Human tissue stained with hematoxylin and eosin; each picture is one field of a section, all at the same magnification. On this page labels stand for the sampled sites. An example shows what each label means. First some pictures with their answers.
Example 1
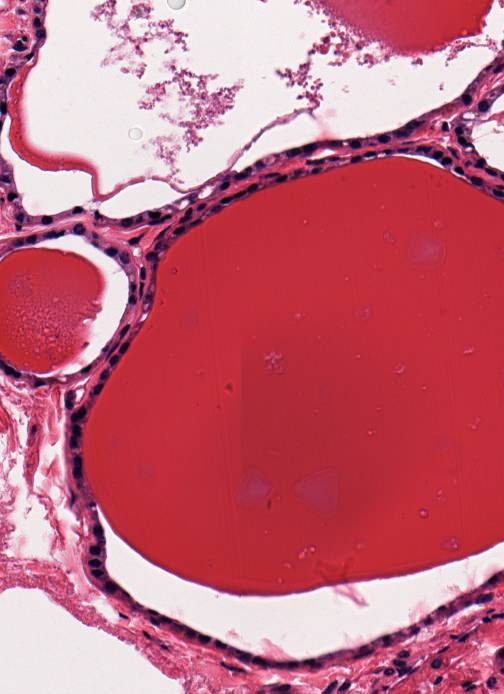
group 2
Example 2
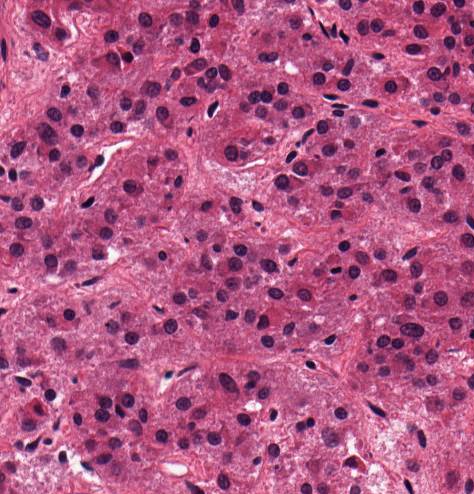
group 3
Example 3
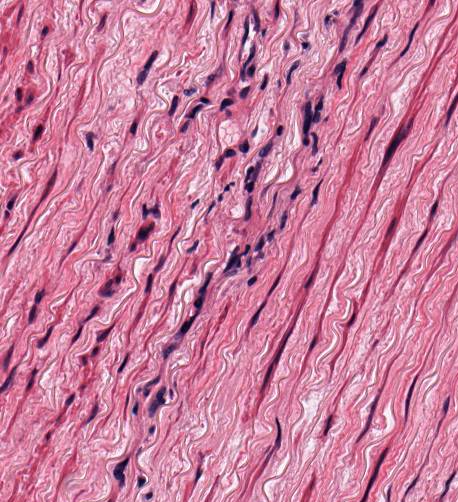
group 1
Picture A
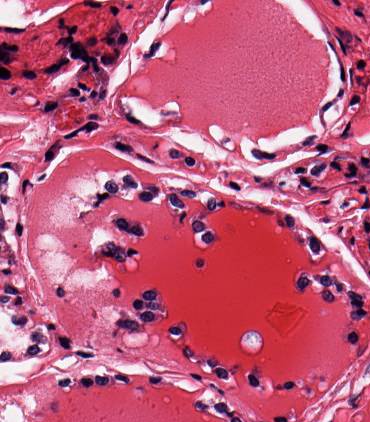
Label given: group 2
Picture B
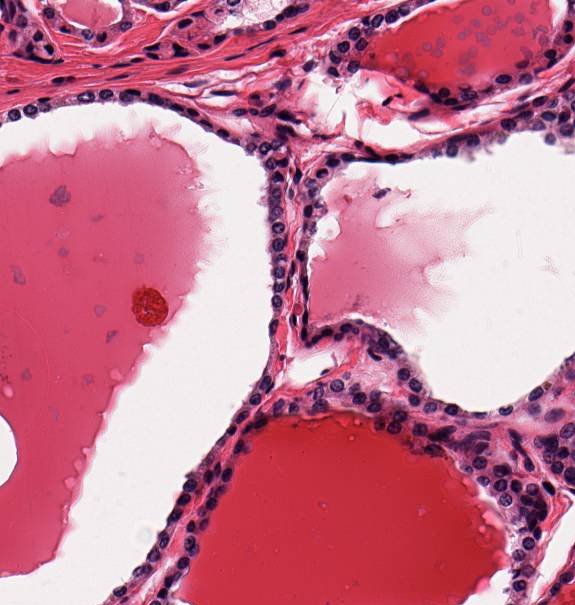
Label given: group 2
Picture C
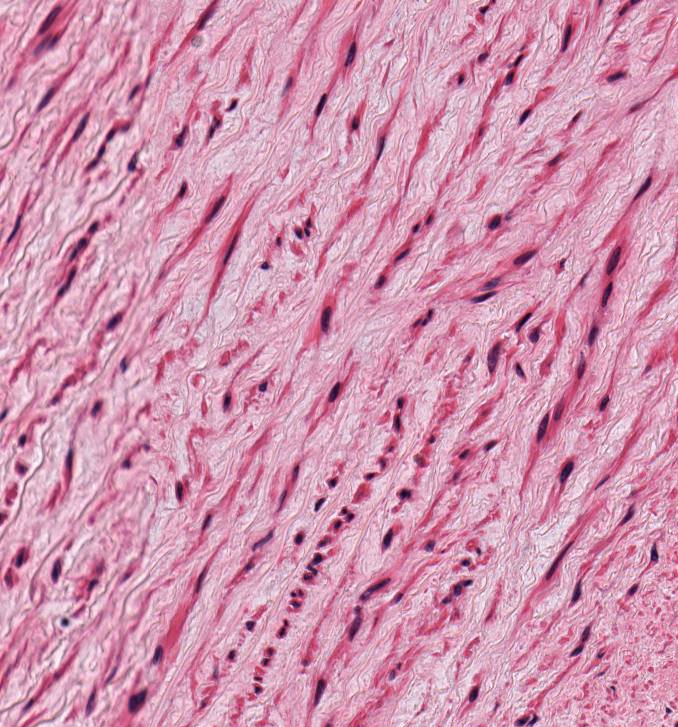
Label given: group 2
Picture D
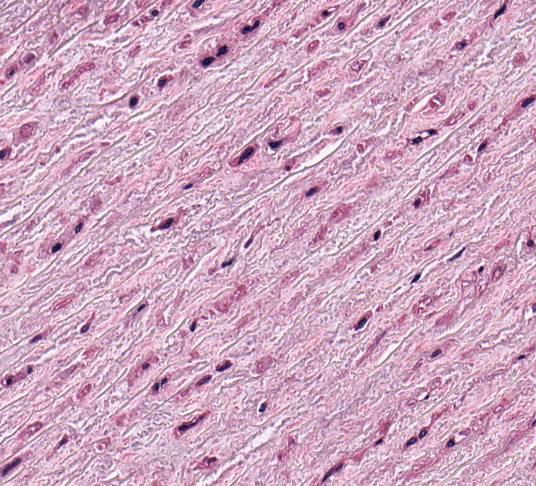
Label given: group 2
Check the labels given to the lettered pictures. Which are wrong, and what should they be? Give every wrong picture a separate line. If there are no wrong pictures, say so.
C: group 1, not group 2
D: group 1, not group 2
